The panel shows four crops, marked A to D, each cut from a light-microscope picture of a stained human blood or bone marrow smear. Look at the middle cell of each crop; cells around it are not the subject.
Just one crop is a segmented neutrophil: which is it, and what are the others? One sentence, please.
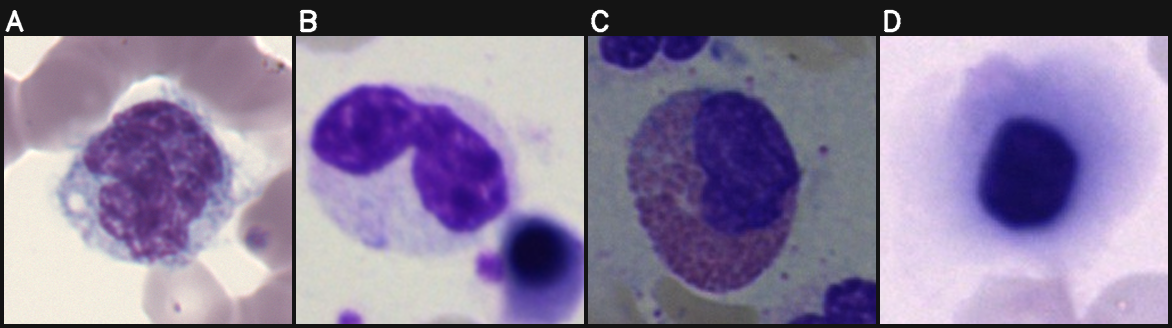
Crop by crop: crop B is a segmented neutrophil, while crop A is a monocyte, crop C is an eosinophil and crop D is an erythroblast.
